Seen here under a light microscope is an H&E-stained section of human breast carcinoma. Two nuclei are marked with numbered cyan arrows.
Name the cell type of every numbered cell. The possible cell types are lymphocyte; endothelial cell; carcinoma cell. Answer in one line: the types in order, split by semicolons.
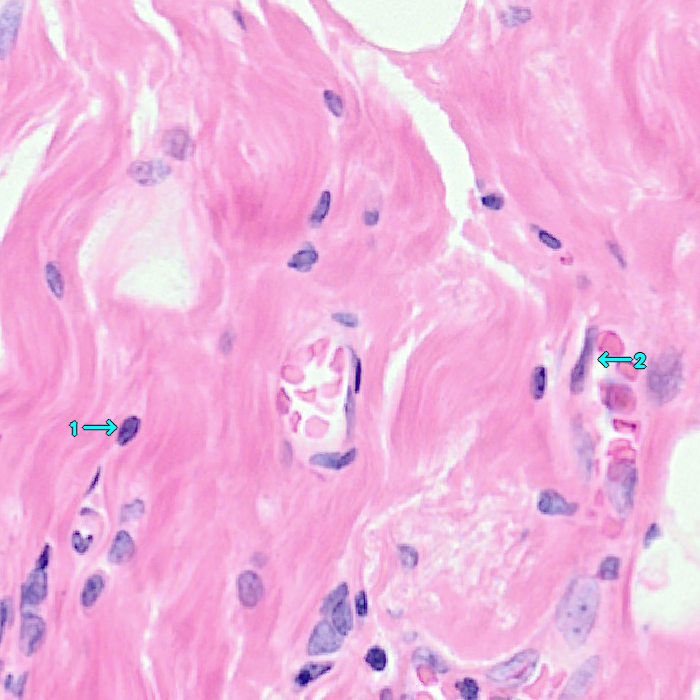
lymphocyte; endothelial cell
